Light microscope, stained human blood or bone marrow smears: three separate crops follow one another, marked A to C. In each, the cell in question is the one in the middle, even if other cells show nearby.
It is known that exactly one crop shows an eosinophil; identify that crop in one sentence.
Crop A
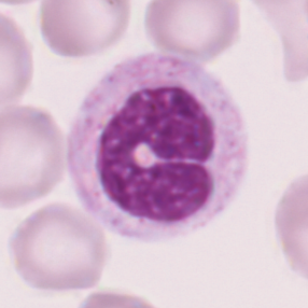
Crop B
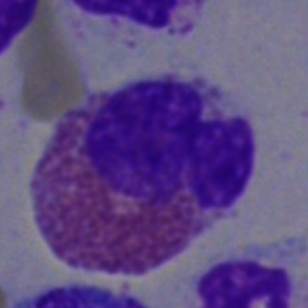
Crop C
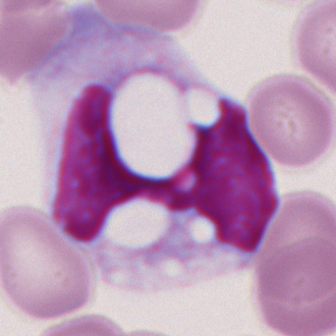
Crop B is the correct crop, and it shows an eosinophil.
